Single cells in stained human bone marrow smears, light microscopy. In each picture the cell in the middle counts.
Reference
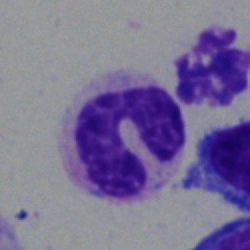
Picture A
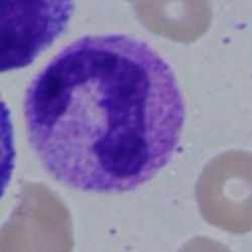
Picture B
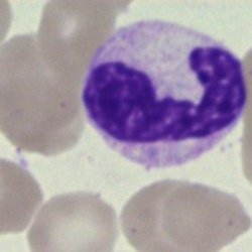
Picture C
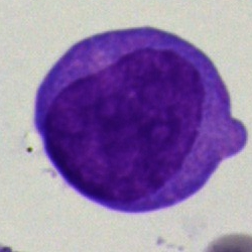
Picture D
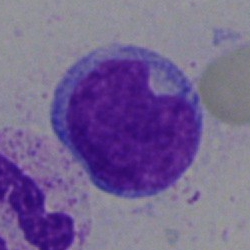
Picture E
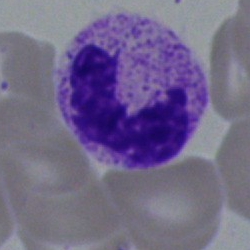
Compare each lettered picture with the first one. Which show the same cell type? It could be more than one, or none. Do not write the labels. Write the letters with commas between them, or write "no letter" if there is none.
A, B, E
